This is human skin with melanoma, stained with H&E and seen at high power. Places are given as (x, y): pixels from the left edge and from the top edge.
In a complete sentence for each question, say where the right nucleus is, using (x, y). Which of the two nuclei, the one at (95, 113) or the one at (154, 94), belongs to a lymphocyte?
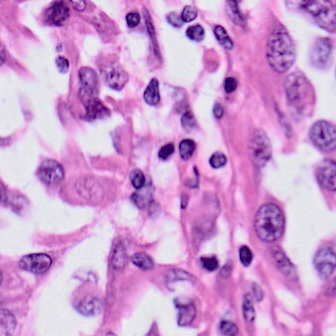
The nucleus whose position is (154, 94) belongs to a lymphocyte.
